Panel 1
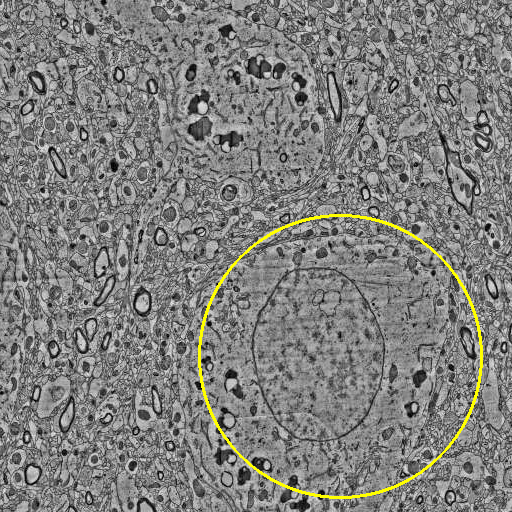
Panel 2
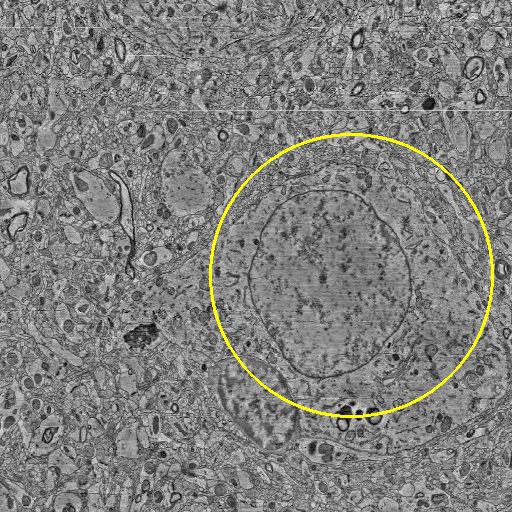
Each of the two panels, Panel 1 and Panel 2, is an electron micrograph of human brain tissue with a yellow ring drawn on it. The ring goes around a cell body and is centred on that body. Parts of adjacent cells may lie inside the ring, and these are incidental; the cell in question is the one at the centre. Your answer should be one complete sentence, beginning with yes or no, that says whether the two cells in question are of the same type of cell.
Yes, the two cells are of the same type.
